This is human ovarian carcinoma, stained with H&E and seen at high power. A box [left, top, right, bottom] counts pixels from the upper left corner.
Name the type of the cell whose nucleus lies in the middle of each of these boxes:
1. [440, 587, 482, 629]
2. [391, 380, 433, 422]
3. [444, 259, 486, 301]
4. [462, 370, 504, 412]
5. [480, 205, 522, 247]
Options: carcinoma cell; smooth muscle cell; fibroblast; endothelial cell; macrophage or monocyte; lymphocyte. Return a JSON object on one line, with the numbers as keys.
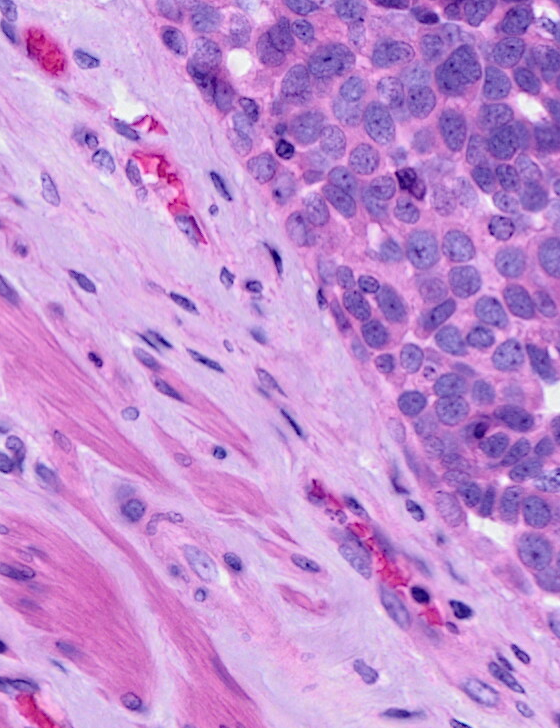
{"1": "lymphocyte", "2": "carcinoma cell", "3": "carcinoma cell", "4": "carcinoma cell", "5": "macrophage or monocyte"}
